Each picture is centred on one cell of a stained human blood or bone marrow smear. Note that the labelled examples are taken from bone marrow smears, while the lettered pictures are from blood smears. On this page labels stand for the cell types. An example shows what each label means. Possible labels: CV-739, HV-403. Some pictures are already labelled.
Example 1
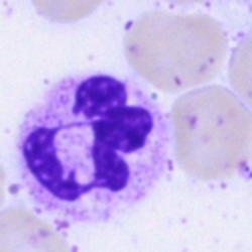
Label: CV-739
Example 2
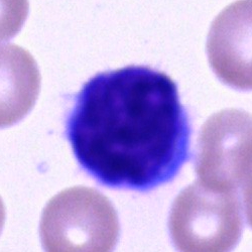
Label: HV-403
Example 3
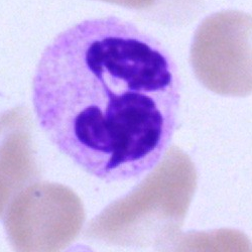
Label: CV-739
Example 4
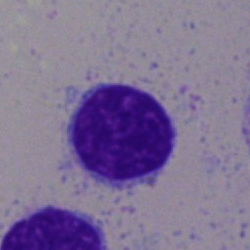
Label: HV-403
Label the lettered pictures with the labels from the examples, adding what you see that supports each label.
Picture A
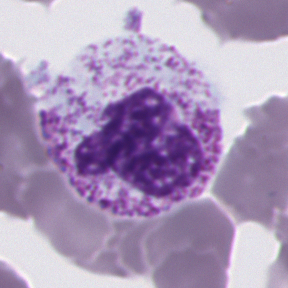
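Answer: CV-739. Many granules are scattered throughout the cytoplasm.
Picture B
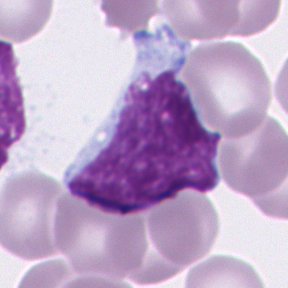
Answer: HV-403. The nucleus fills most of the cell.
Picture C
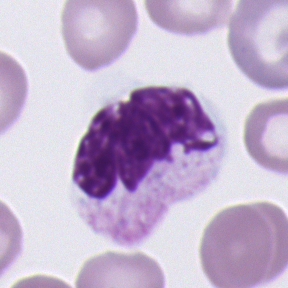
Answer: CV-739. The cytoplasm is pale pinkish-lilac, not blue.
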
